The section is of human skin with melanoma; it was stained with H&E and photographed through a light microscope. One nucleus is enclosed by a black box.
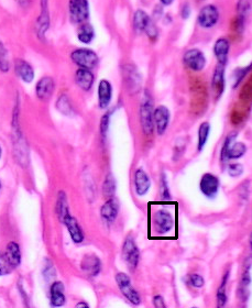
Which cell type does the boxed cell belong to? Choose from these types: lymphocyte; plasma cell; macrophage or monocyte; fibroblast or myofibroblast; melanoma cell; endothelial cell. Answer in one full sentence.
Considered by cell type, the boxed cell is a lymphocyte.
